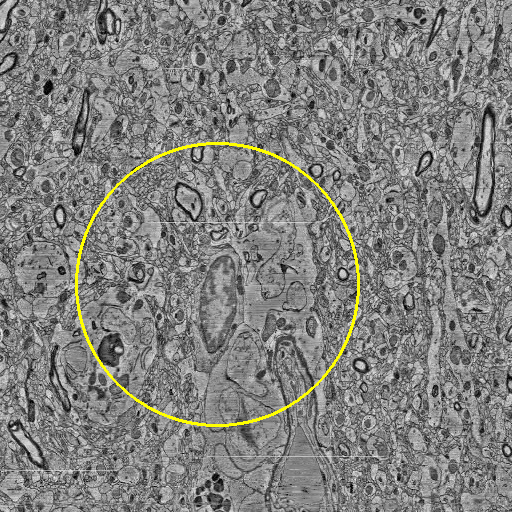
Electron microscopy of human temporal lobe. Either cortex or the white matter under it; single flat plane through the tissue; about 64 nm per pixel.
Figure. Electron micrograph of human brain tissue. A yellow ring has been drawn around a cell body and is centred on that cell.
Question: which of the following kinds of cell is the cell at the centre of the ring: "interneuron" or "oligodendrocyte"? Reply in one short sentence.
The cell at the centre of the ring is an oligodendrocyte.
